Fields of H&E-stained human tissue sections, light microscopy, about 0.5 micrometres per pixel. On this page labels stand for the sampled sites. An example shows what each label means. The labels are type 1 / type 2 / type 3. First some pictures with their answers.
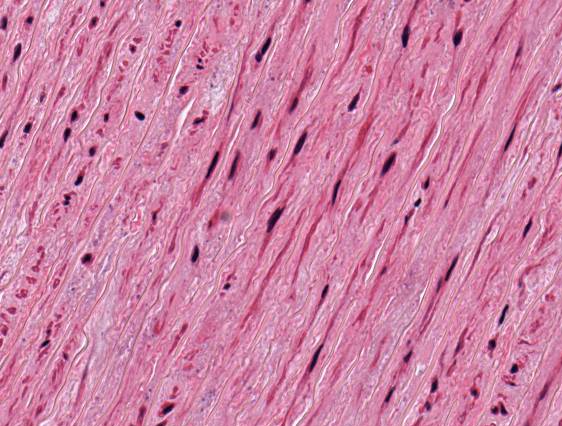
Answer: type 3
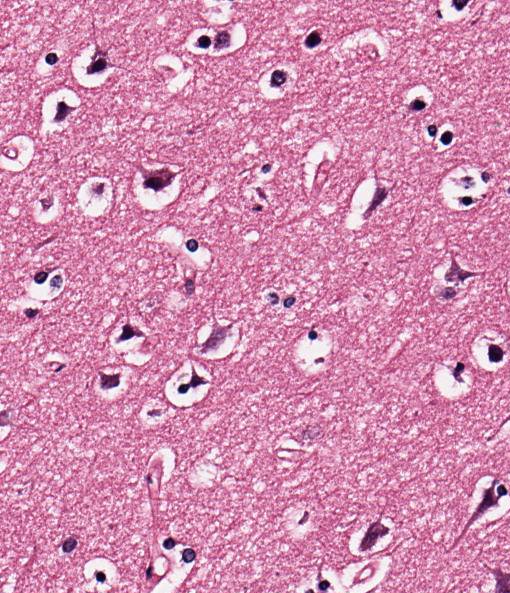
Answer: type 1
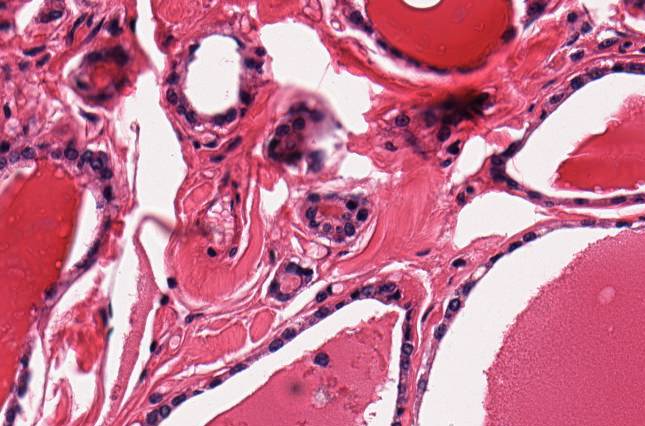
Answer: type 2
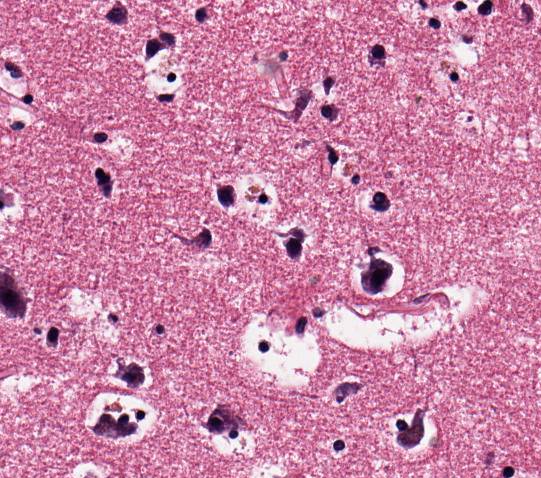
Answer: type 1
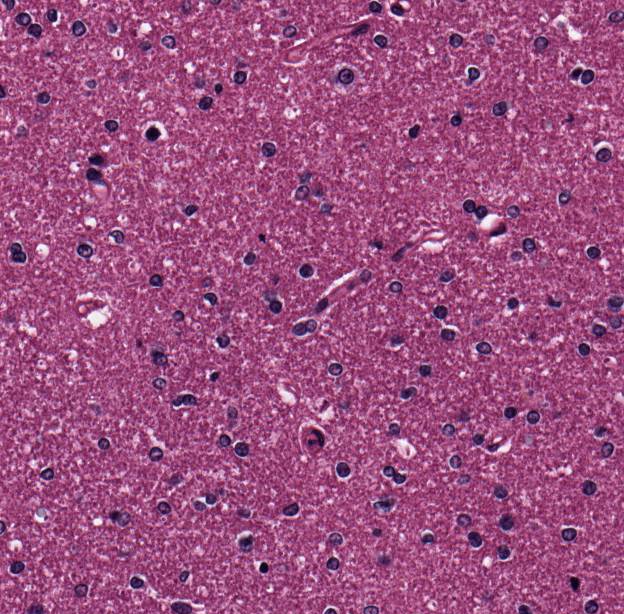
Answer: type 1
